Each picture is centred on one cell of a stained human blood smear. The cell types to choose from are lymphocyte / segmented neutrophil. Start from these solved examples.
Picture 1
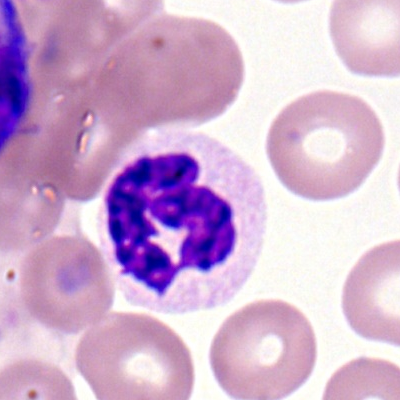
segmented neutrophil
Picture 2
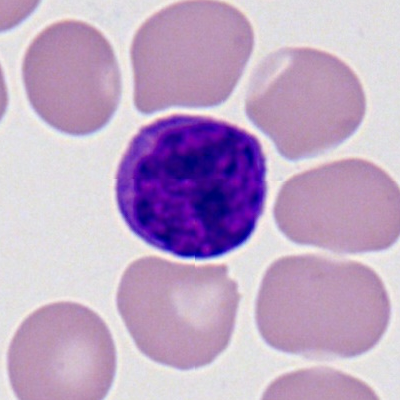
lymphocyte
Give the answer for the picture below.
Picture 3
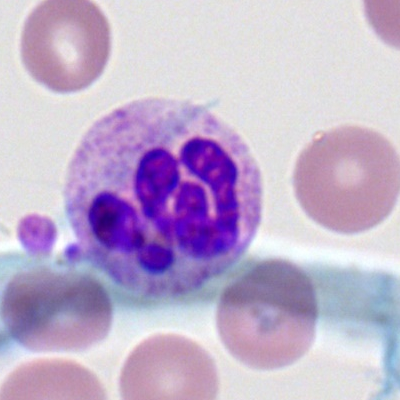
segmented neutrophil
